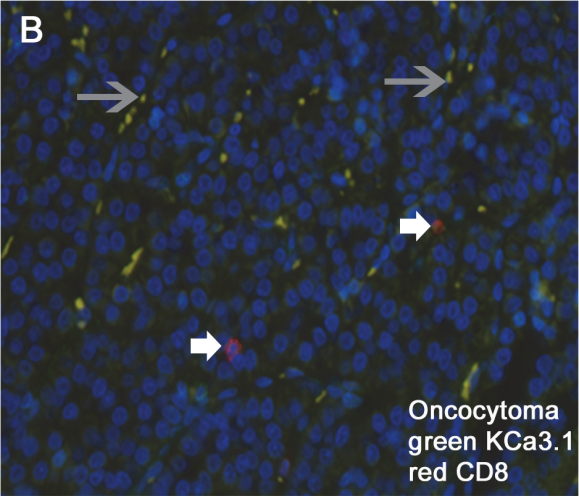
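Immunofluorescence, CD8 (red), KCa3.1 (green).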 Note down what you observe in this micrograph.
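The tumor cells have evenly spaced round blue nuclei and are packed closely with little stroma between them. Only a couple of small cells with a red rim stand out, lying singly within the sheet. Thin streaks of bright yellow, nucleus-free bodies, probably erythrocytes in vessels, run between the tumor cells.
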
